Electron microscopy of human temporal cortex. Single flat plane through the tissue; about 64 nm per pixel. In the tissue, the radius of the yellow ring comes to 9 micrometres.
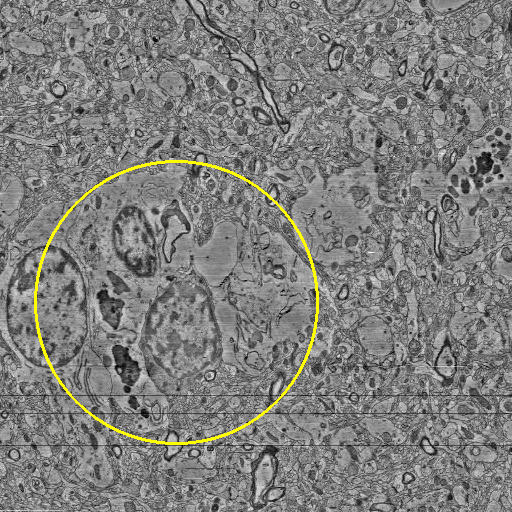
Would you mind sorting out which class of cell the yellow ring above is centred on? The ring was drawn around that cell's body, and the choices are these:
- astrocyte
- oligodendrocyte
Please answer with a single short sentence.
This is the cell body of an oligodendrocyte.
